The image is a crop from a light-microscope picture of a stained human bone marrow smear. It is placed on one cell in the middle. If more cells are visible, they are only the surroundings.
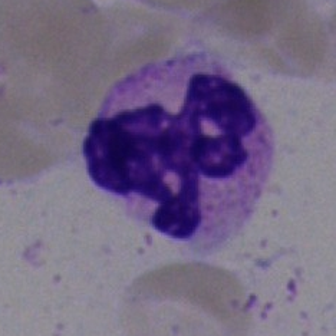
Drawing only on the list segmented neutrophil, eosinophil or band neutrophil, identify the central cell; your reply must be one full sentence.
To answer, the cell in the center of the crop is a segmented neutrophil.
